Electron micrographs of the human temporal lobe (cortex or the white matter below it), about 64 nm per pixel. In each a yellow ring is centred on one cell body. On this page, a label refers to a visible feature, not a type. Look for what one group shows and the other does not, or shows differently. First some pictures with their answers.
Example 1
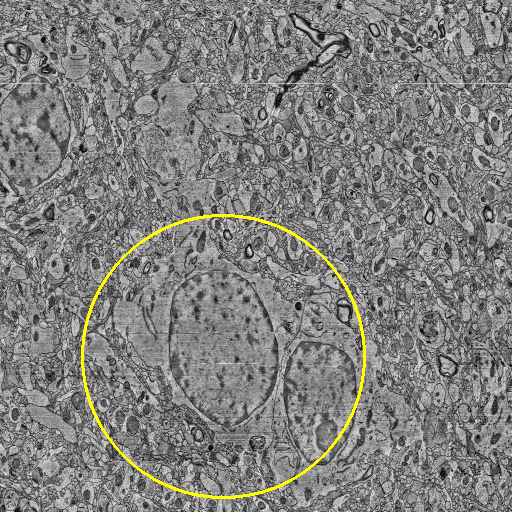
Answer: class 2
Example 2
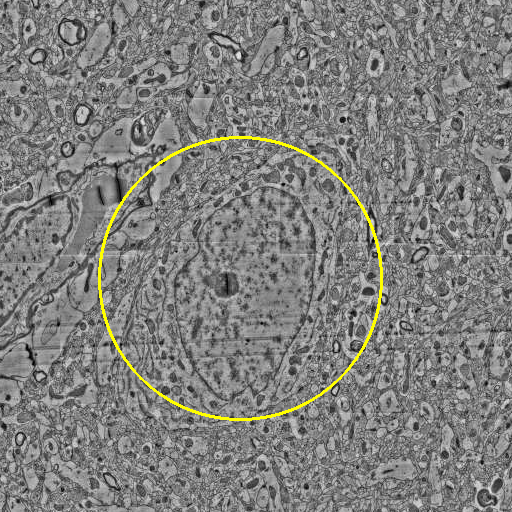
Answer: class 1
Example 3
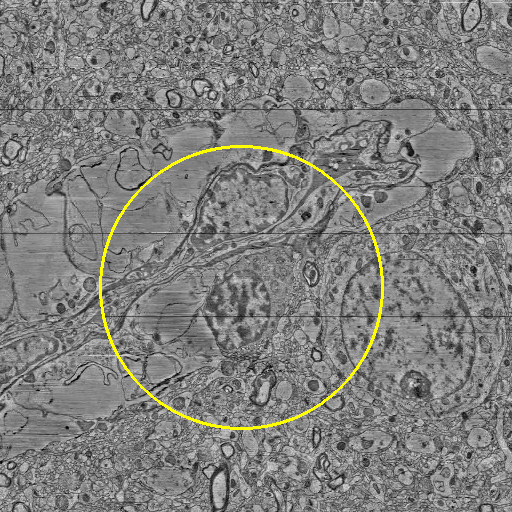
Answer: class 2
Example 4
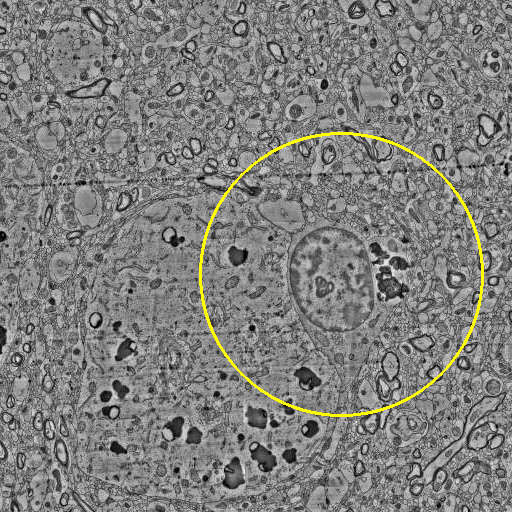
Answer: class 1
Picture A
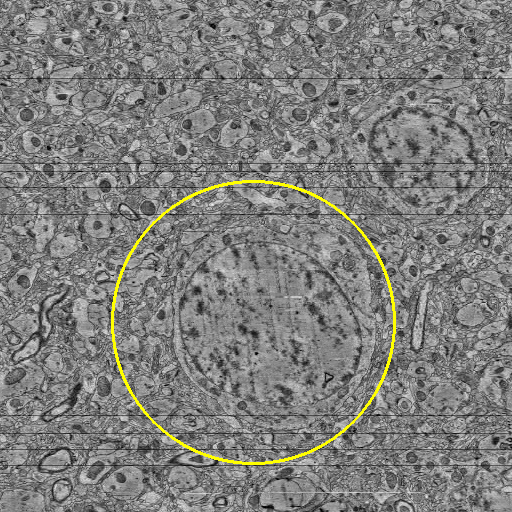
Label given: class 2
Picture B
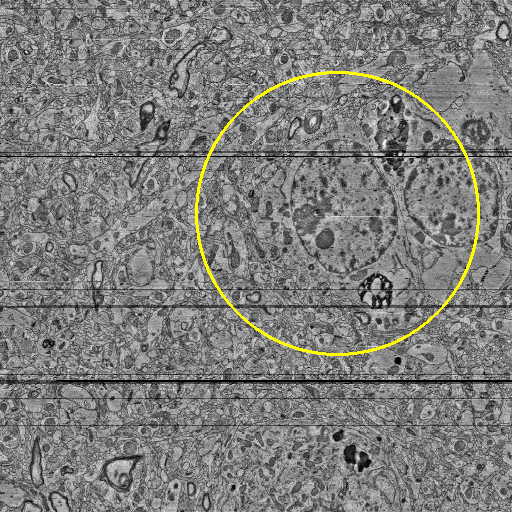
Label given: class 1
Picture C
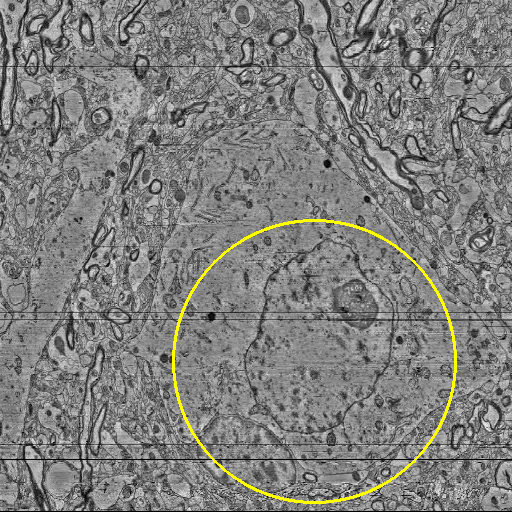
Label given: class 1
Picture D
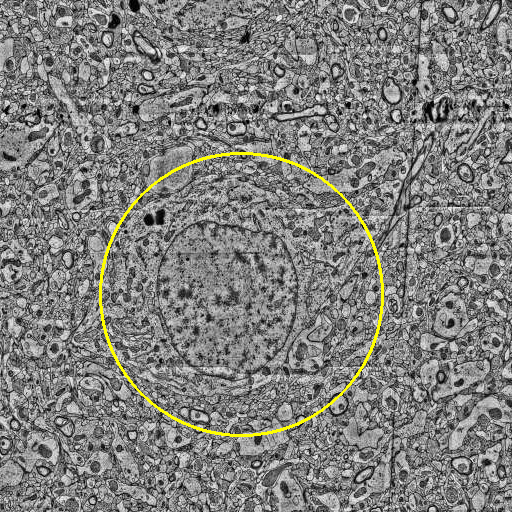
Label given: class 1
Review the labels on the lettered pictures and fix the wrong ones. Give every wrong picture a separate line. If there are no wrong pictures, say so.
D: change class 1 to class 2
